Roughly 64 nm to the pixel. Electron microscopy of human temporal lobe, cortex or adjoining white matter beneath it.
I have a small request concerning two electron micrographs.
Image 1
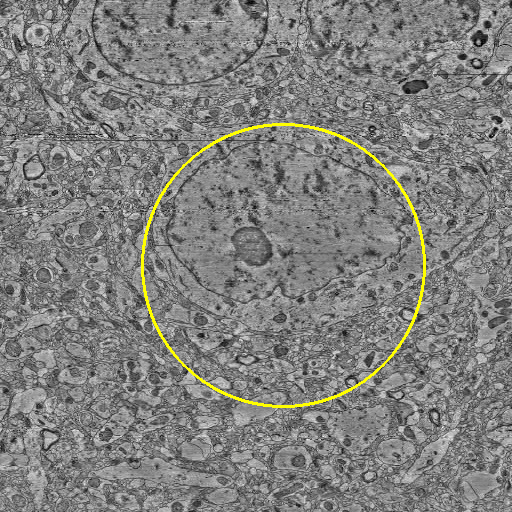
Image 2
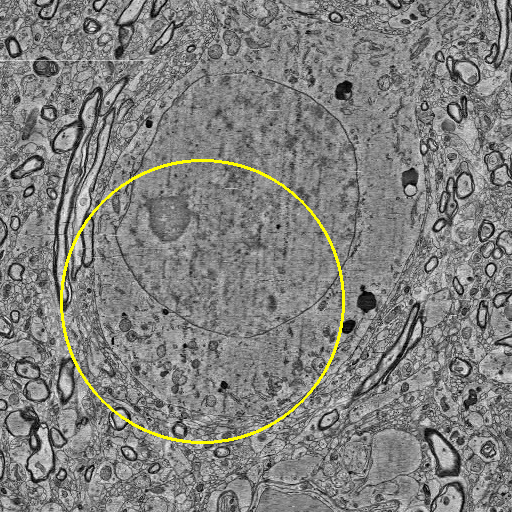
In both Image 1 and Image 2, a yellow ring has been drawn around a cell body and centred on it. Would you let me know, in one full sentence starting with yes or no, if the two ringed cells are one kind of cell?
Yes, the cells ringed in Image 1 and Image 2 are one kind of cell.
